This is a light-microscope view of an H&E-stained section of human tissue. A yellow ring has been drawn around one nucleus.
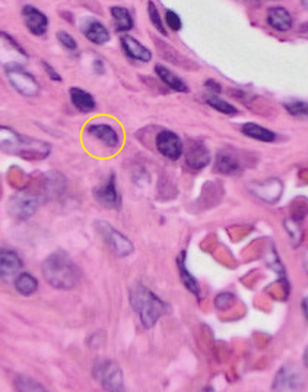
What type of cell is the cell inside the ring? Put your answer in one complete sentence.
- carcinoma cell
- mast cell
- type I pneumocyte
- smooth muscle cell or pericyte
Recorded by type, the cell inside the ring is a mast cell.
